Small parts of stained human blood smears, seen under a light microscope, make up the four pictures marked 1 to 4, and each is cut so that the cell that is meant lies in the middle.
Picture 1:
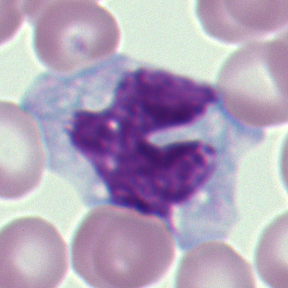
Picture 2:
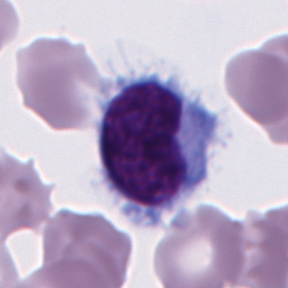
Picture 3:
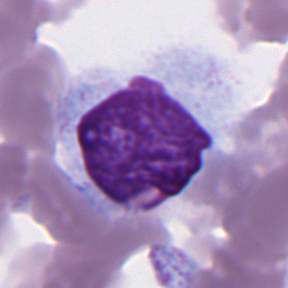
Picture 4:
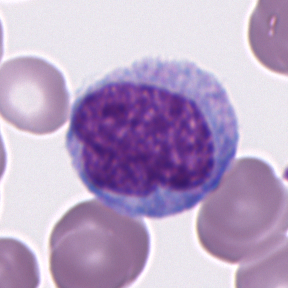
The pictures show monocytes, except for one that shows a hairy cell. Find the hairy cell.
2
